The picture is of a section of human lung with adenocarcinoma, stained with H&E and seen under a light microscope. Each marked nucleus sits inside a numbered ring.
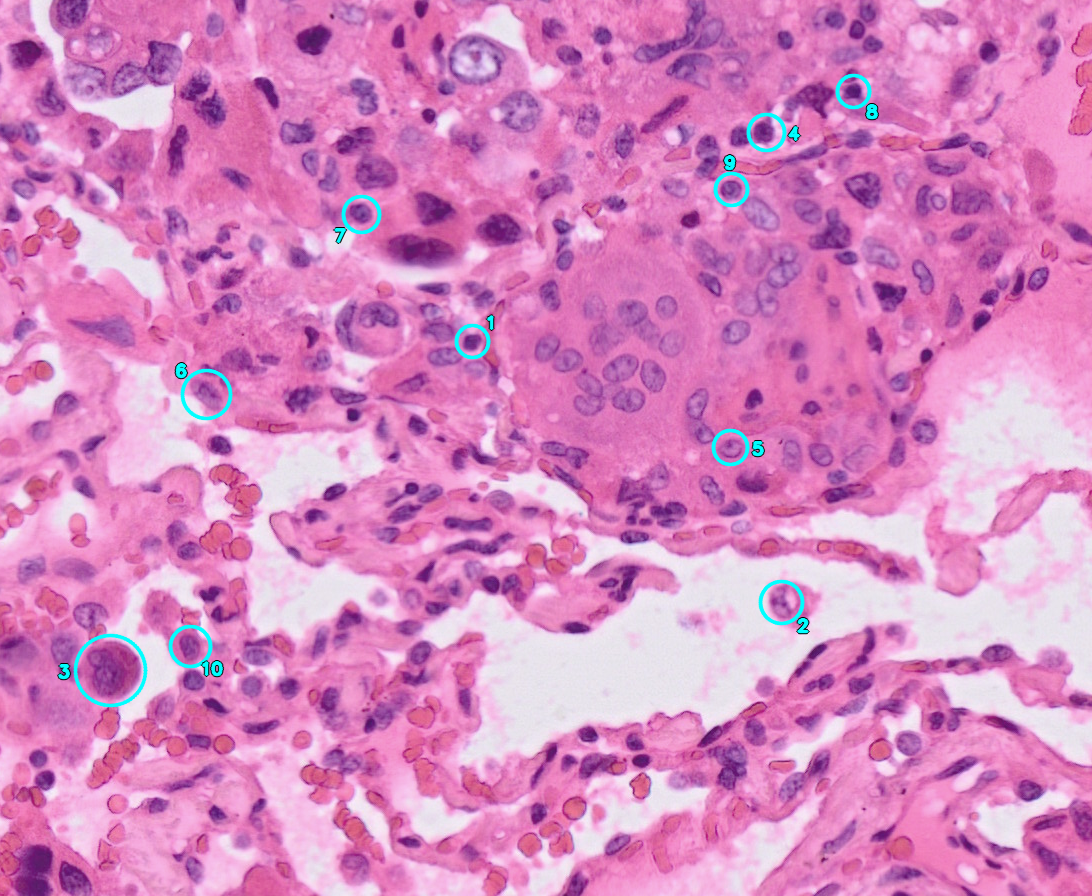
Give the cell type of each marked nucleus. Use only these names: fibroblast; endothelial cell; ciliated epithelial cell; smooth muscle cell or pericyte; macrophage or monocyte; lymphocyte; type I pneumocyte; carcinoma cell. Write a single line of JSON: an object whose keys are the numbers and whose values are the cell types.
{"1": "lymphocyte", "2": "macrophage or monocyte", "3": "carcinoma cell", "4": "lymphocyte", "5": "macrophage or monocyte", "6": "type I pneumocyte", "7": "lymphocyte", "8": "lymphocyte", "9": "lymphocyte", "10": "macrophage or monocyte"}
